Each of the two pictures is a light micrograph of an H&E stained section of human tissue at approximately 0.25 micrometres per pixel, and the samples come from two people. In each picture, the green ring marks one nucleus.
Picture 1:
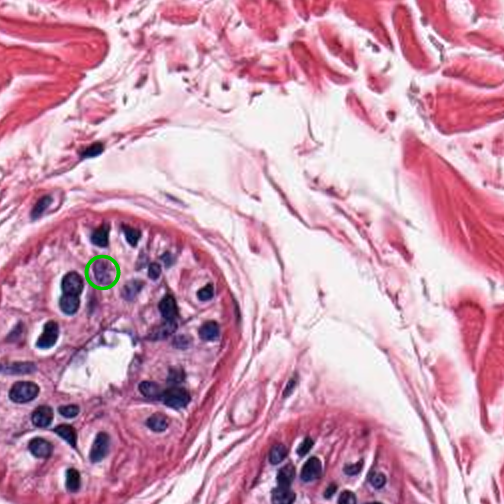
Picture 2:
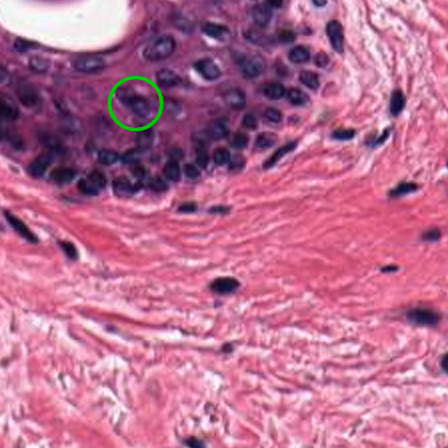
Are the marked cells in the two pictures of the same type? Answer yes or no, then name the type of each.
No, the first is a sweat gland cell and the second a keratinocyte.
